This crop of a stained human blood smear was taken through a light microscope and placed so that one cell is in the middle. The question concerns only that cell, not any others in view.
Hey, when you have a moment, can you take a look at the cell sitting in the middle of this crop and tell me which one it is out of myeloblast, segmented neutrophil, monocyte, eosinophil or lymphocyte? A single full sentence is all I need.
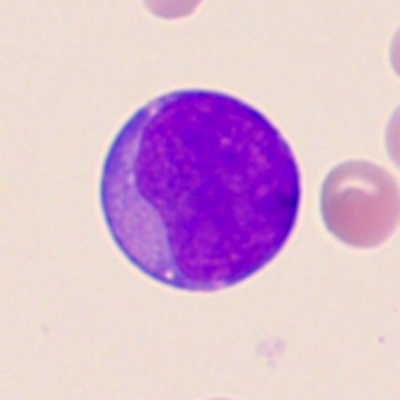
This crop has a myeloblast at its centre.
